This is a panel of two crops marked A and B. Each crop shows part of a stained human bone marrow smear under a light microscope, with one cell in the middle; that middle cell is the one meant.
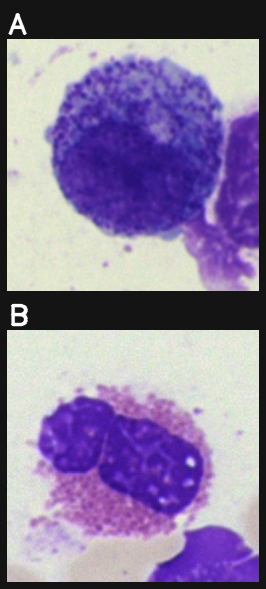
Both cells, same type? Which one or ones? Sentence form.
No, at the centre of crop A is a promyelocyte, and at the centre of crop B is an eosinophil.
